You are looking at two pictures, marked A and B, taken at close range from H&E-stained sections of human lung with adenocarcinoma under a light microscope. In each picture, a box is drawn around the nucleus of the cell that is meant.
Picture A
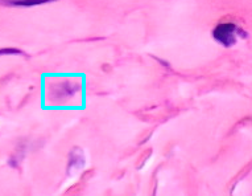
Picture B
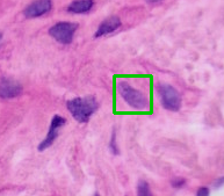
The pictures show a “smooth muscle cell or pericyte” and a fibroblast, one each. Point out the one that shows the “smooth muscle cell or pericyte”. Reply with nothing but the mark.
B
